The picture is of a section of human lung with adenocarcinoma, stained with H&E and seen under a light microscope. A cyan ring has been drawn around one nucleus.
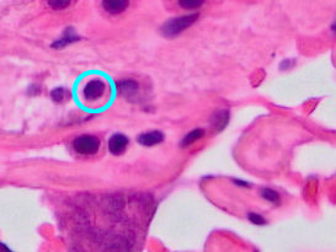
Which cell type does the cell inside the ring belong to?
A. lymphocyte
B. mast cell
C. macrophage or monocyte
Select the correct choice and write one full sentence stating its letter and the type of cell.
Right answer, option A: the cell inside the ring is a lymphocyte.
